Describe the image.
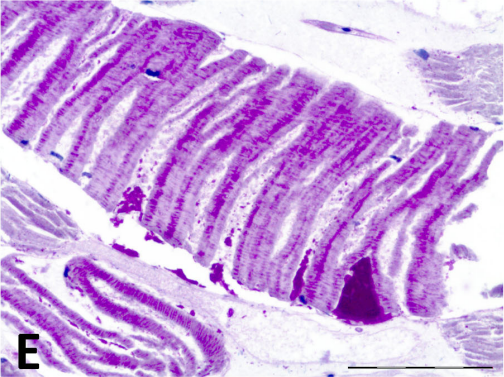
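Longitudinally cut skeletal muscle fibres show discoid degeneration: the sarcoplasm is broken into regular transverse bands separated by pale clefts, giving a segmented, accordion-like appearance. The bands stain magenta-purple with finer cross-striation still visible within them. A dense deep purple clump lies at the edge of one fibre. Few small dark blue nuclei sit at fibre margins, and fibres are separated by pale interstitial spaces.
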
